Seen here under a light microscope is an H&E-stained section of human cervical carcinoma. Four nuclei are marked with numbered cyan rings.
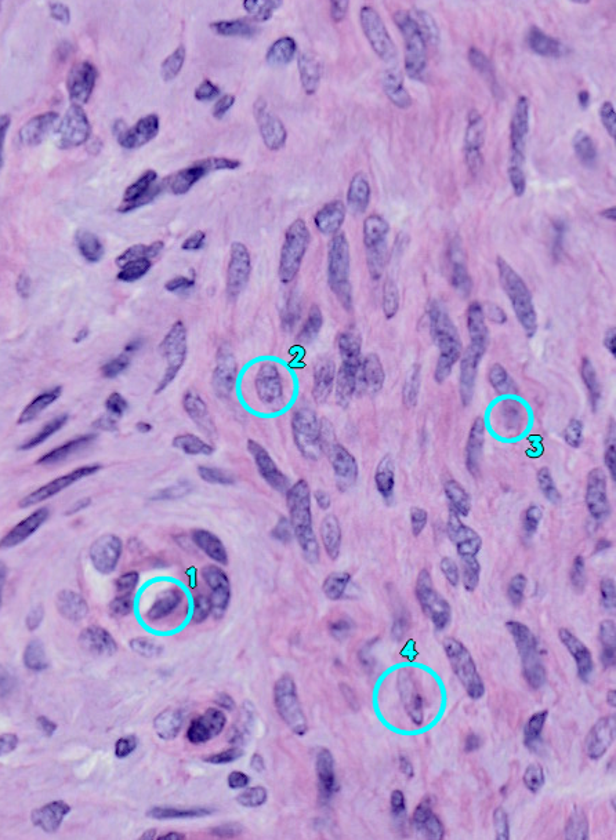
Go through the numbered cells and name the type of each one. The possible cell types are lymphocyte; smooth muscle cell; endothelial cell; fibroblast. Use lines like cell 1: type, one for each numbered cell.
cell 1: endothelial cell
cell 2: smooth muscle cell
cell 3: smooth muscle cell
cell 4: smooth muscle cell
